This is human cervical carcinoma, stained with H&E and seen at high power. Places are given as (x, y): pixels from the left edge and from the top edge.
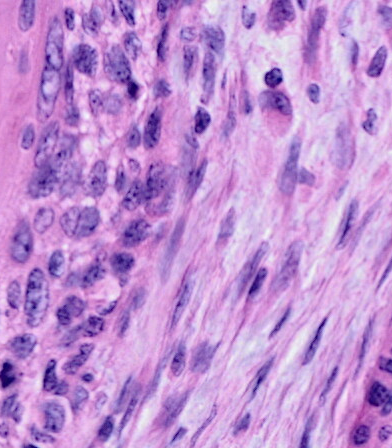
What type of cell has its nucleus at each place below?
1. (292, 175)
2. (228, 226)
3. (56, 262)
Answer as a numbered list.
1. fibroblast
2. fibroblast
3. squamous carcinoma cell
